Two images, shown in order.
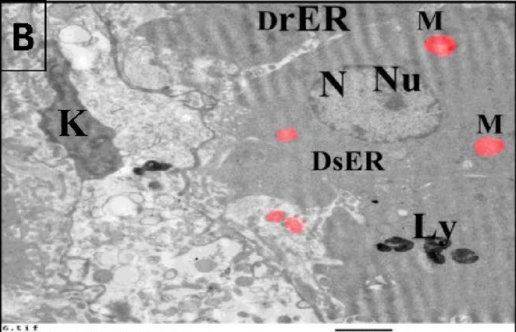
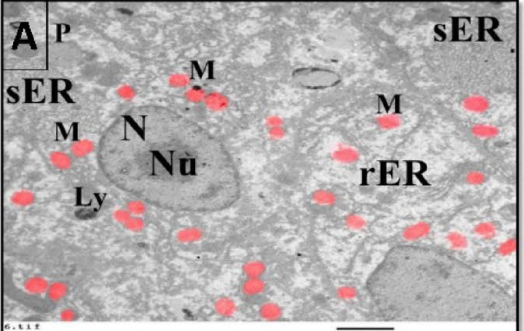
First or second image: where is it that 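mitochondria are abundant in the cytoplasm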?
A: The second image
